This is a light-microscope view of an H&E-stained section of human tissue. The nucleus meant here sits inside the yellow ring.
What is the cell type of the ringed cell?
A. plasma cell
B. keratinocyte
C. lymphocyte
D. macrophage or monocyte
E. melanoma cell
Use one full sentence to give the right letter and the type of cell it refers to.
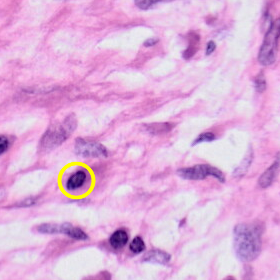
The accurate option is A, with the ringed cell being a plasma cell.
